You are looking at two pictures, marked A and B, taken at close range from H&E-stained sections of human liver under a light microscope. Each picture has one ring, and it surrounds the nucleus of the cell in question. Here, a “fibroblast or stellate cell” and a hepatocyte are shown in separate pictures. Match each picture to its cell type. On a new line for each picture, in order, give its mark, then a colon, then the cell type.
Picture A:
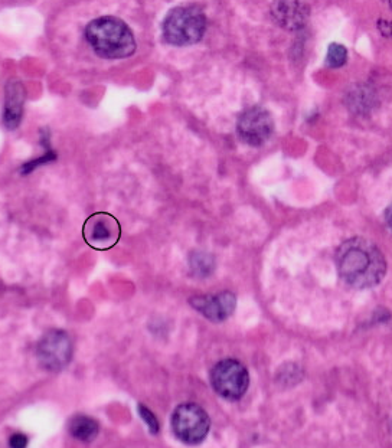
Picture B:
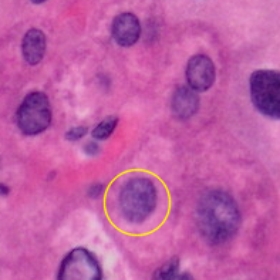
A: fibroblast or stellate cell
B: hepatocyte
